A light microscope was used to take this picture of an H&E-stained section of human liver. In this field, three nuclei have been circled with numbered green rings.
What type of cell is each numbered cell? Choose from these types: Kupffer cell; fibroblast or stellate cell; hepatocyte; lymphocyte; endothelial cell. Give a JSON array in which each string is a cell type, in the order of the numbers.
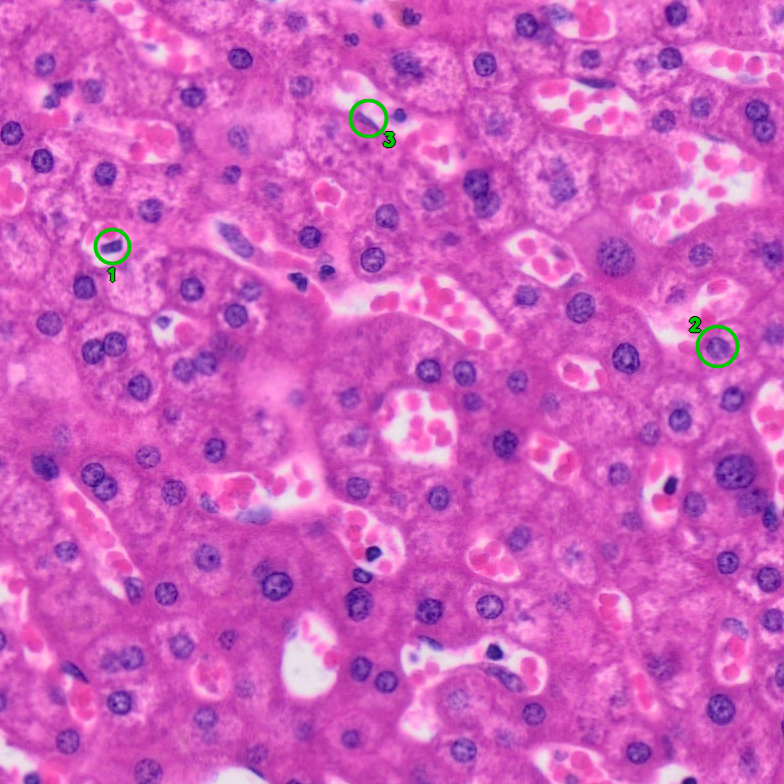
["lymphocyte", "hepatocyte", "endothelial cell"]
